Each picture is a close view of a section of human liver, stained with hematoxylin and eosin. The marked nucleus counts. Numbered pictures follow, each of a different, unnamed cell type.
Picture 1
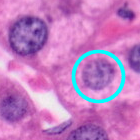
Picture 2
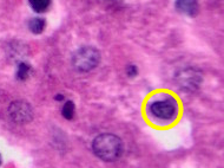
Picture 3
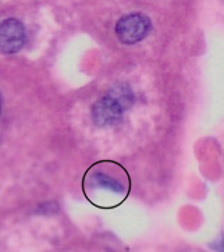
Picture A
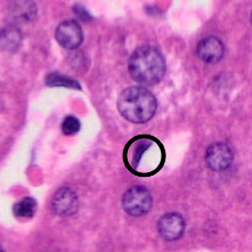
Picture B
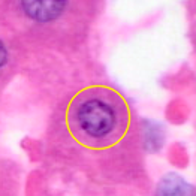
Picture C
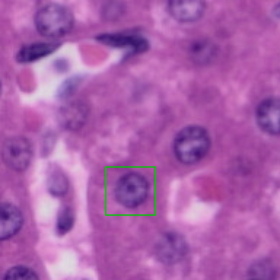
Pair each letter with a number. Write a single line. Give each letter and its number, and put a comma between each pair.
A 3, B 1, C 1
